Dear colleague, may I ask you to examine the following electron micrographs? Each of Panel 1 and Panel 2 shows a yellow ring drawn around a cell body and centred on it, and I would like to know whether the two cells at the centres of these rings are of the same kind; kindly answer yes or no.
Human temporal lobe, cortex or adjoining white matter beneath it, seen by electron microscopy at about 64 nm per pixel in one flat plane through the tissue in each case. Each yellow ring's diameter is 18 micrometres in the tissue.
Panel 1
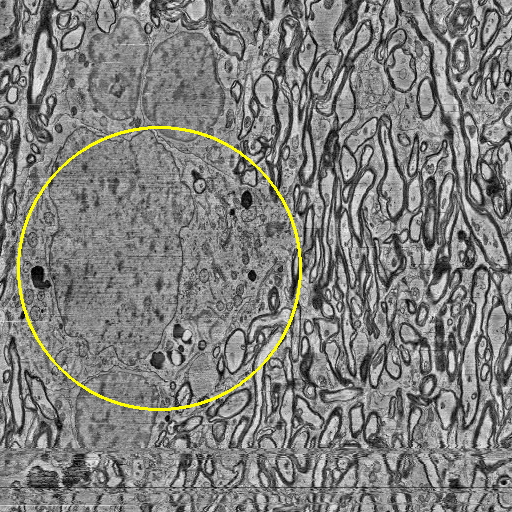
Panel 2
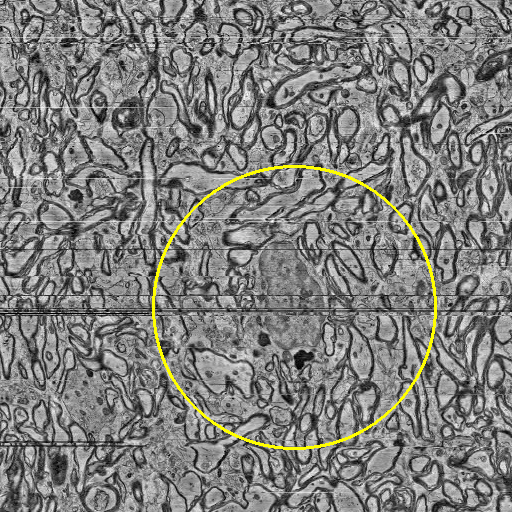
no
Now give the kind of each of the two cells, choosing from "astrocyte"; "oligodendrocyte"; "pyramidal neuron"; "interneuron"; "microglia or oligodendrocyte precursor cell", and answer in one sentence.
The cell in the first picture is a pyramidal neuron, and the cell in the second is an oligodendrocyte.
